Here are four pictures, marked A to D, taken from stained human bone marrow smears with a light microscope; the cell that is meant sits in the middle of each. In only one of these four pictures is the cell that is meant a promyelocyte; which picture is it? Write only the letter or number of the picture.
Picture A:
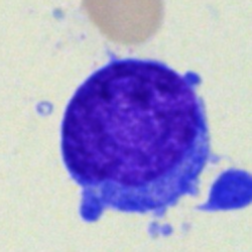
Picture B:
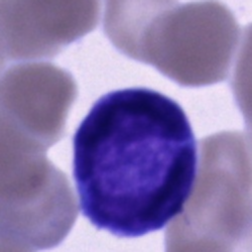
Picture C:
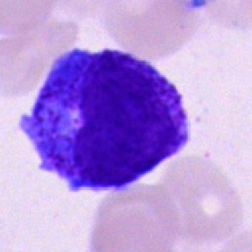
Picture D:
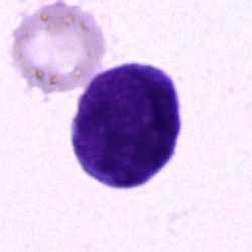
C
